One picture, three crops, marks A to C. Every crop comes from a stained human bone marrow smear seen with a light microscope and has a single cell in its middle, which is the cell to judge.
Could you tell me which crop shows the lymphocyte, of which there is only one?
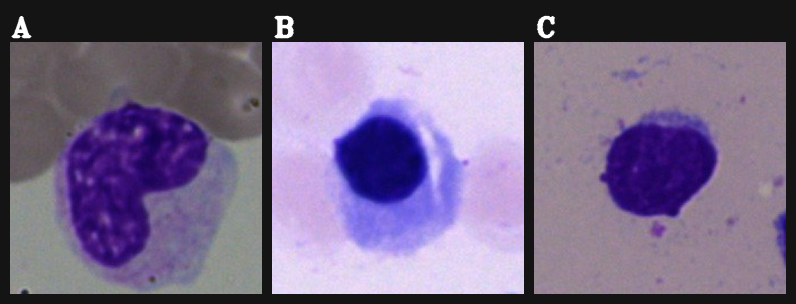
C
